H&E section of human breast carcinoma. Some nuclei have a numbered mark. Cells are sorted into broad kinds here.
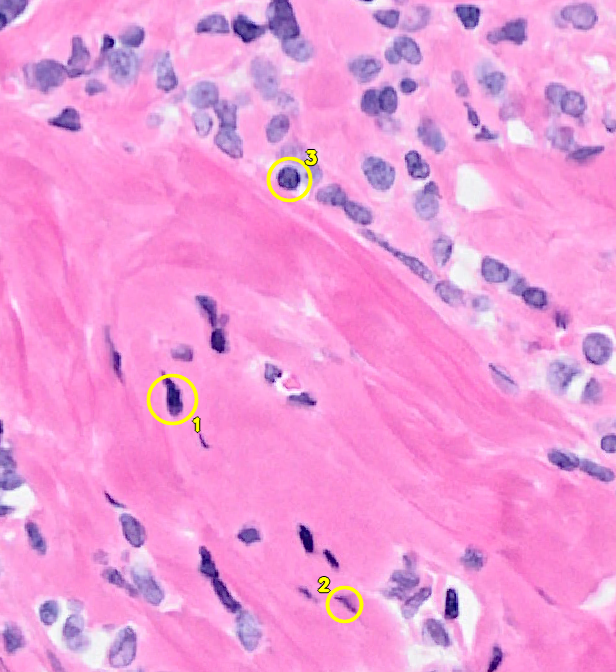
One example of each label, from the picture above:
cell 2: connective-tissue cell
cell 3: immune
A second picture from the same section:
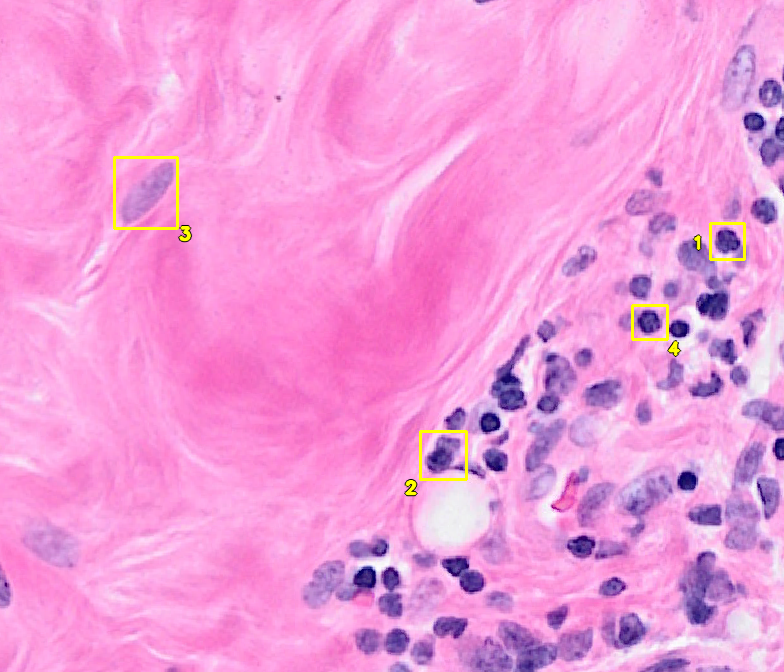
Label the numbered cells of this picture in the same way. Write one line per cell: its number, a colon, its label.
1: immune
2: immune
3: connective-tissue cell
4: immune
